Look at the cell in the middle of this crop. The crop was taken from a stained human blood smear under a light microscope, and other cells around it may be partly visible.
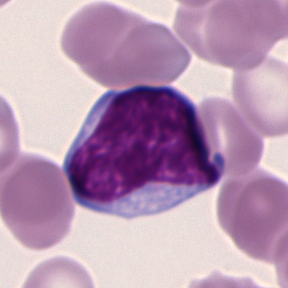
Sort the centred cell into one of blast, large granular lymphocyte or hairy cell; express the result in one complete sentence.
The cell at the heart of this crop is a large granular lymphocyte.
